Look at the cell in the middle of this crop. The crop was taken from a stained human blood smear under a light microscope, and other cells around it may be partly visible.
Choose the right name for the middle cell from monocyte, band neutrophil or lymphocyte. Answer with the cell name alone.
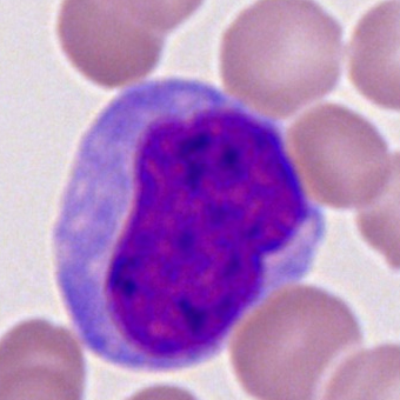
monocyte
